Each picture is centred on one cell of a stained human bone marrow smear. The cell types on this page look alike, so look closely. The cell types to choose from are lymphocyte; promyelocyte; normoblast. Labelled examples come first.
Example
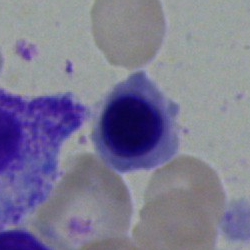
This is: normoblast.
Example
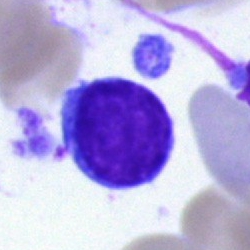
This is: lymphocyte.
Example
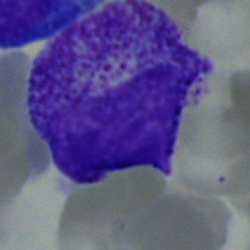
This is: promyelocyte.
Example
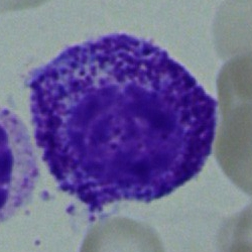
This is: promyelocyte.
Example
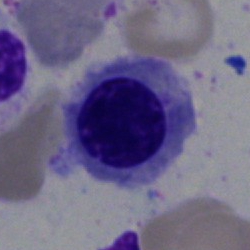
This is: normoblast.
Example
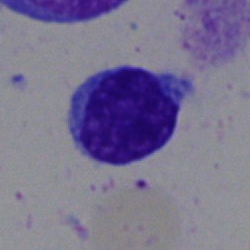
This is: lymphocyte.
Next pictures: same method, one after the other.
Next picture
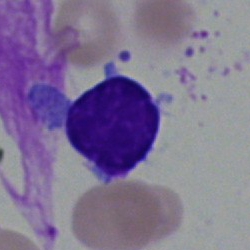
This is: lymphocyte.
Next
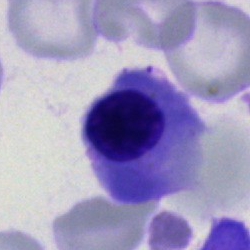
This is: normoblast.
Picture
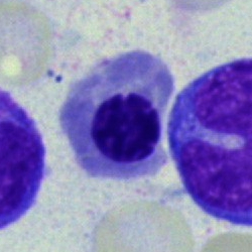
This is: normoblast.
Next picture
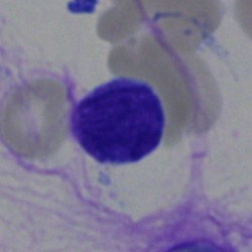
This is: lymphocyte.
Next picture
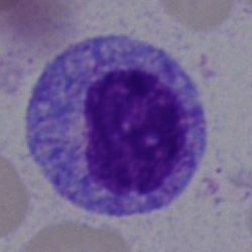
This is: promyelocyte.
